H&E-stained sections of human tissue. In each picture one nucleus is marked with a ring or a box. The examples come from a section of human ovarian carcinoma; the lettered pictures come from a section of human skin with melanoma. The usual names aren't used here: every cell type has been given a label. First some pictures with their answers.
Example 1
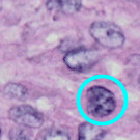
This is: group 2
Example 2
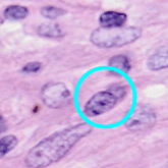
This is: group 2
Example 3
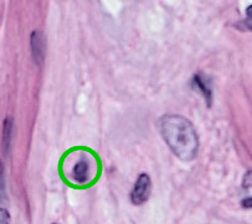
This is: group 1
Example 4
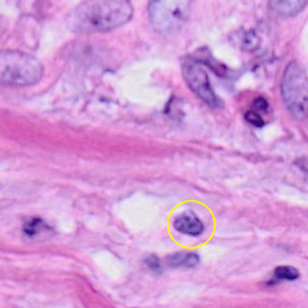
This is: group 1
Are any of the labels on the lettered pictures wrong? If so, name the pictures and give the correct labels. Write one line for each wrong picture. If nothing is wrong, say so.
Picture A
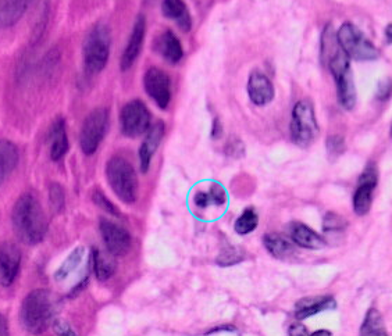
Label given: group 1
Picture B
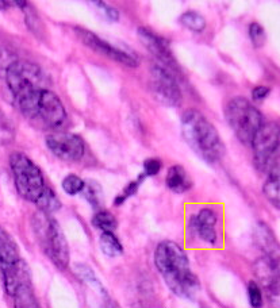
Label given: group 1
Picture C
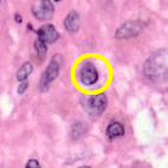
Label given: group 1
B should be group 2, not group 1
